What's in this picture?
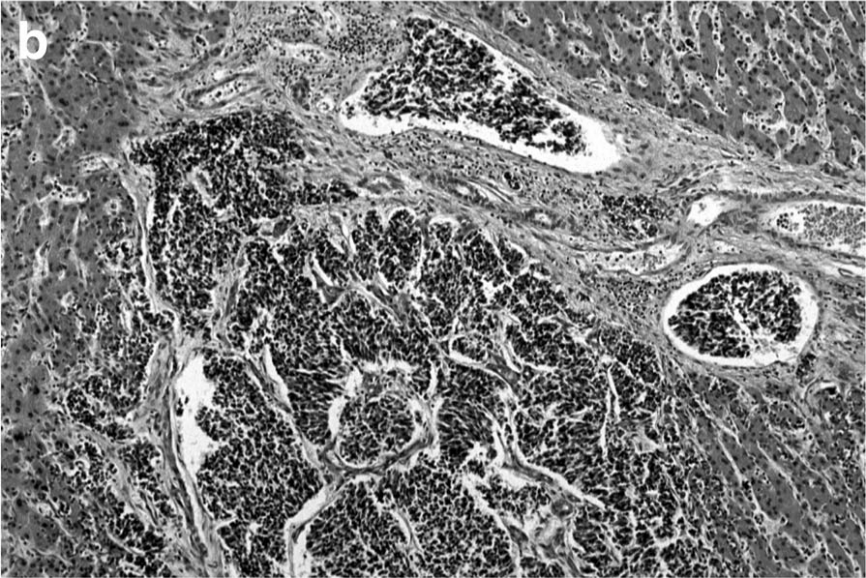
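At low magnification a large, dark-staining mass of tumor cells lies within paler parenchyma, which is arranged in cords of cells. A band of fibrous tissue crosses the field and contains vessels whose lumina are plugged by clusters of the same dark tumor cells, a picture of portal venous invasion. Thin fibrous septa divide the main tumor mass into irregular nests.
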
